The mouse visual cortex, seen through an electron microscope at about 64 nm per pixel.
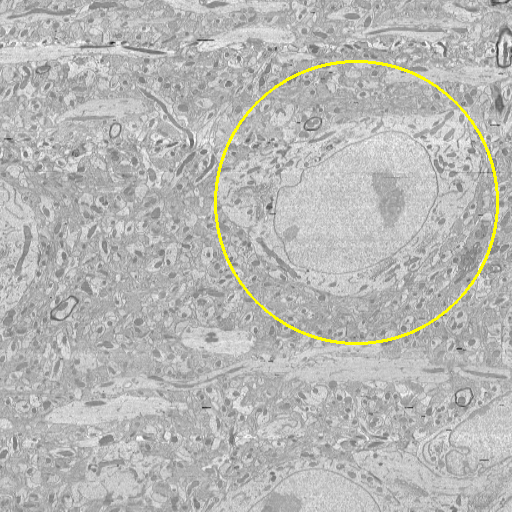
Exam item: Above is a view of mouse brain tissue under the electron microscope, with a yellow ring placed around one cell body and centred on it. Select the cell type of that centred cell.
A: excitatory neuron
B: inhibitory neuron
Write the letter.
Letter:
A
